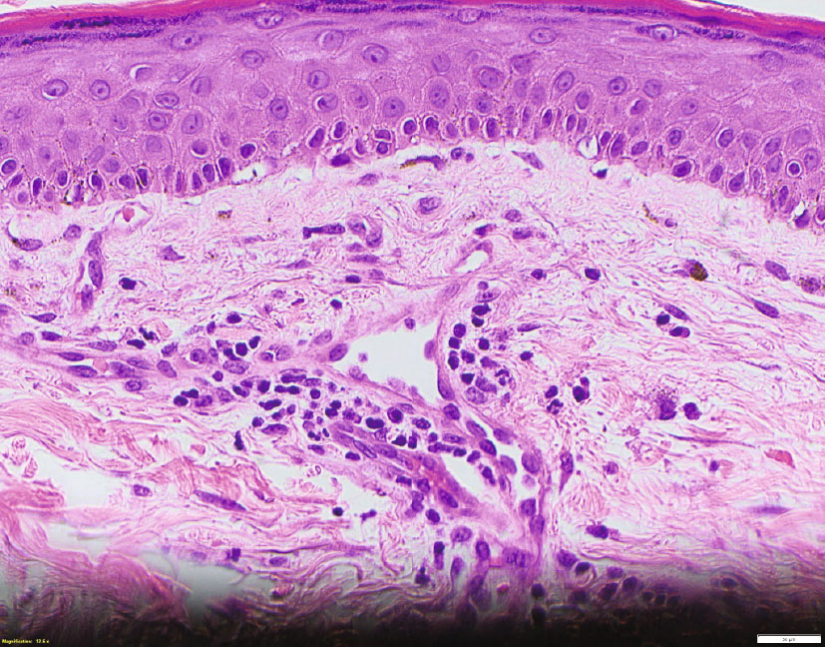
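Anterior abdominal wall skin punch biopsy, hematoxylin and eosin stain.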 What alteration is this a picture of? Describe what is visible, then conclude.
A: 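Mild superficial perivascular dermatitis. Small dark round nuclei cluster around thin-walled vessels in the upper dermis. The overlying epidermis is intact.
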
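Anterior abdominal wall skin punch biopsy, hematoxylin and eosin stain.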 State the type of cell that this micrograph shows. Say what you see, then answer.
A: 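Lymphocytes. Most infiltrating cells are small with round, dense, dark purple nuclei and scant cytoplasm. They gather around the vessels of the superficial dermis.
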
